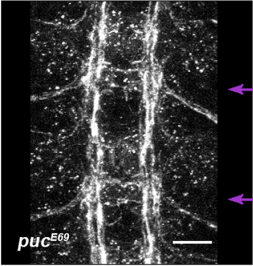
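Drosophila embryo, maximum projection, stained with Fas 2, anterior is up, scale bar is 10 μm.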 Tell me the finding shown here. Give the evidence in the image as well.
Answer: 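Defasciculation and collapse of the longitudinal connectives. The longitudinal bundles look frayed and irregular rather than smooth and parallel. The bundles are uneven in thickness, with strands splaying out along their length.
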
